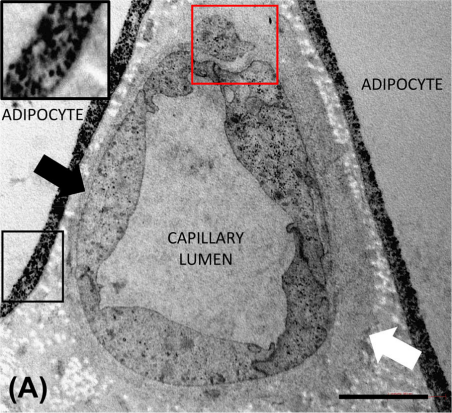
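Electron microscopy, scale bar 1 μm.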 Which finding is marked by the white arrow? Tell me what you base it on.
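The white arrow points to a broad pale band between the capillary wall and the adipocyte. This band is much wider there than on the opposite side of the capillary.
Hence: irregular thickening of the basement membrane.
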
